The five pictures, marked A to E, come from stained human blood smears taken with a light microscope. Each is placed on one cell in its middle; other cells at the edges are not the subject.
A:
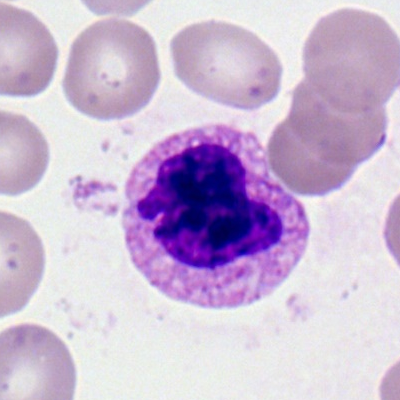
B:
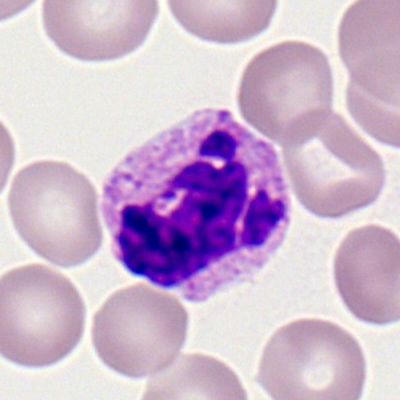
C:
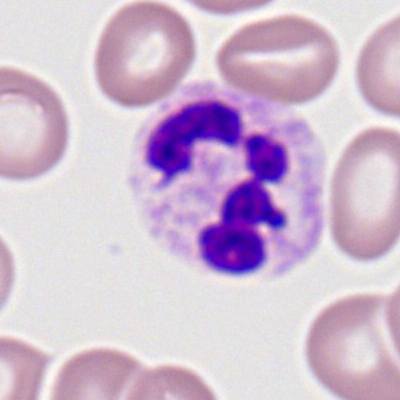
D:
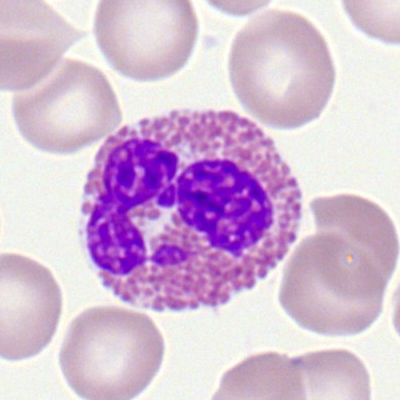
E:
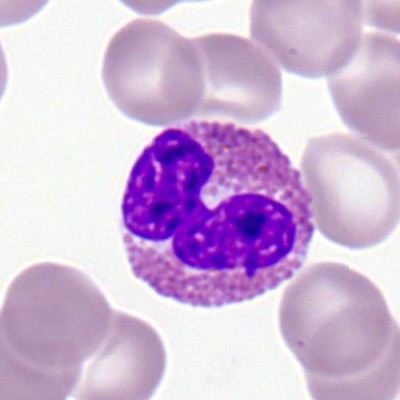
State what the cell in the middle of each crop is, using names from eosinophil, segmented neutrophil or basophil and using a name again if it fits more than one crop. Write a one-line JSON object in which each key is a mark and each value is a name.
{"A": "basophil", "B": "basophil", "C": "segmented neutrophil", "D": "eosinophil", "E": "eosinophil"}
